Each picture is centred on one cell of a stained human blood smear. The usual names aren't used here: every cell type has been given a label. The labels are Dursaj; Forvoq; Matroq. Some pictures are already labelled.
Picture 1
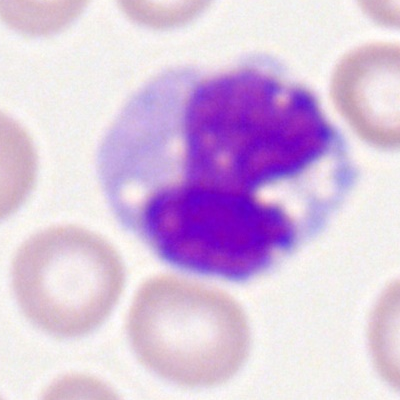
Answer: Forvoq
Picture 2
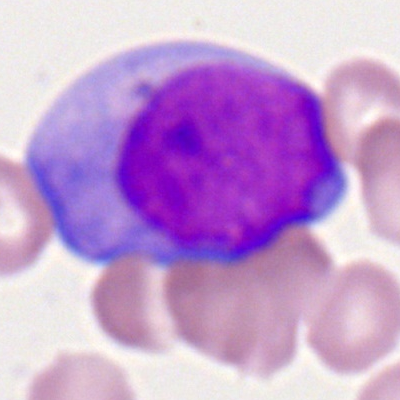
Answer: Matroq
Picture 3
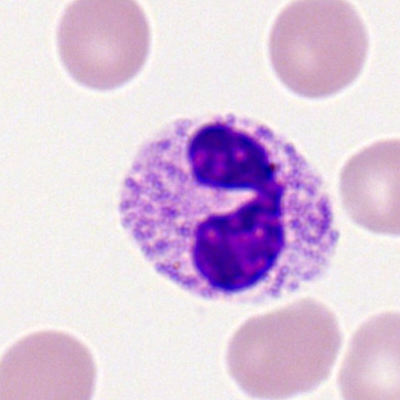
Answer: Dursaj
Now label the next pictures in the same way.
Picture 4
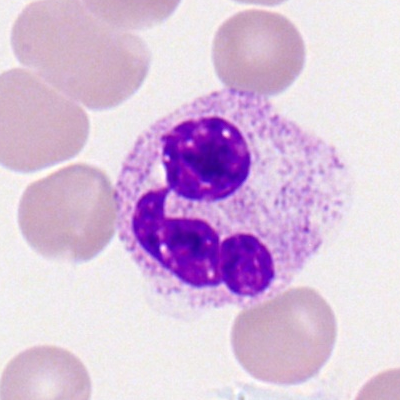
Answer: Dursaj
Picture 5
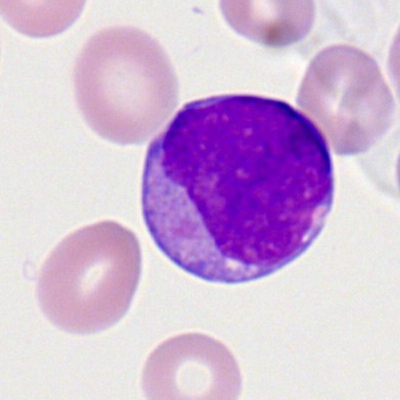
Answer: Matroq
